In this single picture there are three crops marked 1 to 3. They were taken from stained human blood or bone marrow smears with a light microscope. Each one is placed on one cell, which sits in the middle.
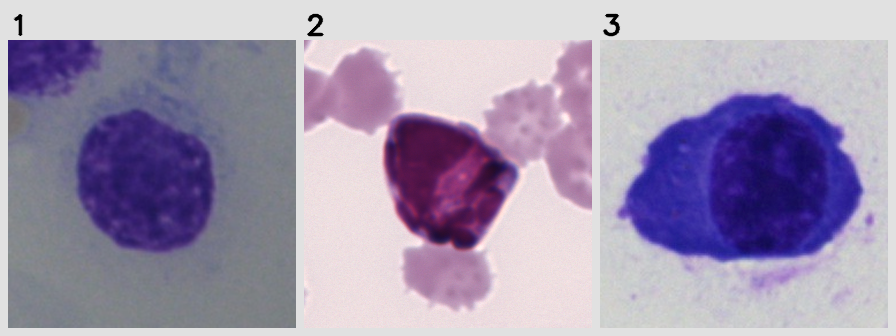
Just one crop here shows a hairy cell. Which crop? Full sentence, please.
Of the labeled crops, the one with a hairy cell is crop 1.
